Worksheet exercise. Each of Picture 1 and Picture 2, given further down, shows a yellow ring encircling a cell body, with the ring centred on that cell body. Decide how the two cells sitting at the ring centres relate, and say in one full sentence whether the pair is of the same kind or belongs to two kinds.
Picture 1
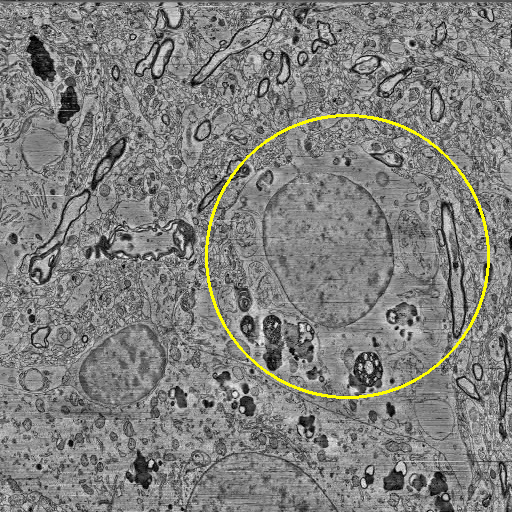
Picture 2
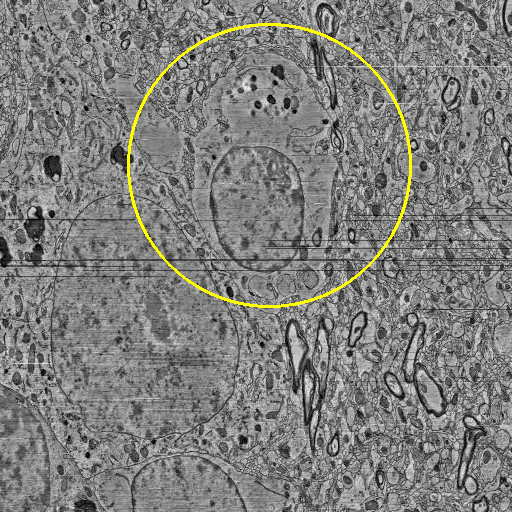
The cells at the ring centres in Picture 1 and Picture 2 are of the same kind.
